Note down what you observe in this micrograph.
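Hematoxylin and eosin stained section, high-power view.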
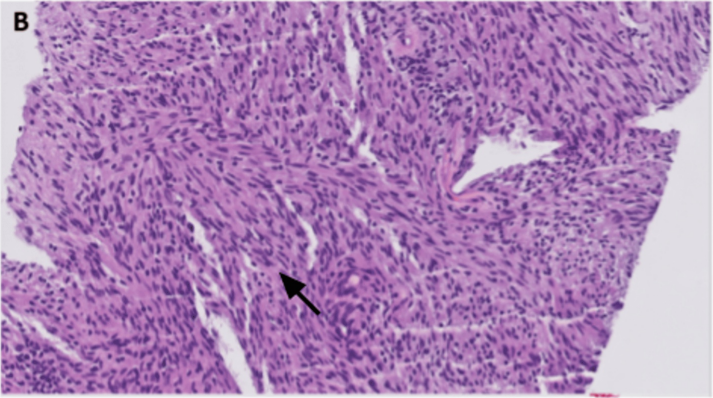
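The cells are long and slender and lie in streaming, interlacing bundles that sweep across the field in different directions. Their nuclei are dark purple, narrow and elongated, many with a gentle wave and tapered, pointed ends. The cytoplasm is pale pink and drawn out, so the cell borders blend into a fibrillary background. The nuclei look much alike in size and shape, without large bizarre forms. A few thin clefts and a slit-like vascular space break up the otherwise dense sheet of cells.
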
